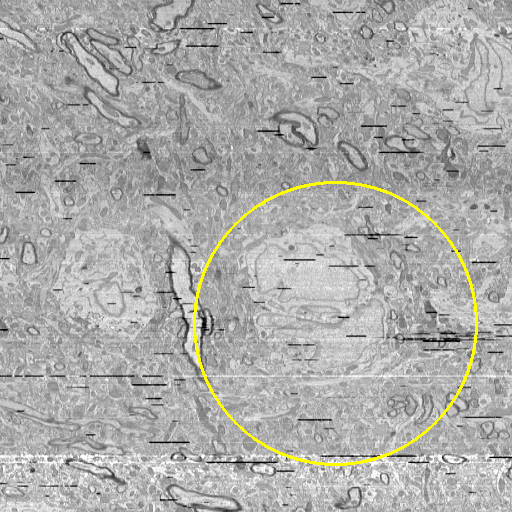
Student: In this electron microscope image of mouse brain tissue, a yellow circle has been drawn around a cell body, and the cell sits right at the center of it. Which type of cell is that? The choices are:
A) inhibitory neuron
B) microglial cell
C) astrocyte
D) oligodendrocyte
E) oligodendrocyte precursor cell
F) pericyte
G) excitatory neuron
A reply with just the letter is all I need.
E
